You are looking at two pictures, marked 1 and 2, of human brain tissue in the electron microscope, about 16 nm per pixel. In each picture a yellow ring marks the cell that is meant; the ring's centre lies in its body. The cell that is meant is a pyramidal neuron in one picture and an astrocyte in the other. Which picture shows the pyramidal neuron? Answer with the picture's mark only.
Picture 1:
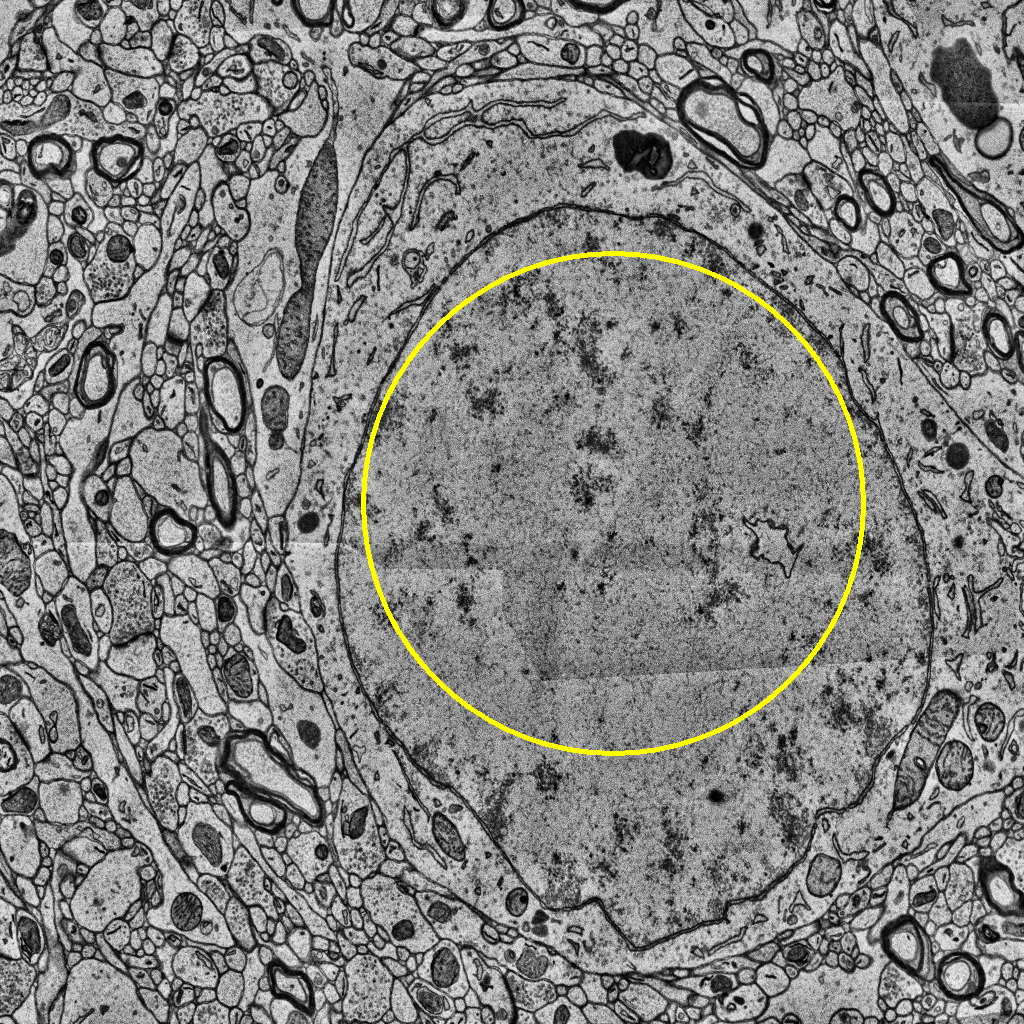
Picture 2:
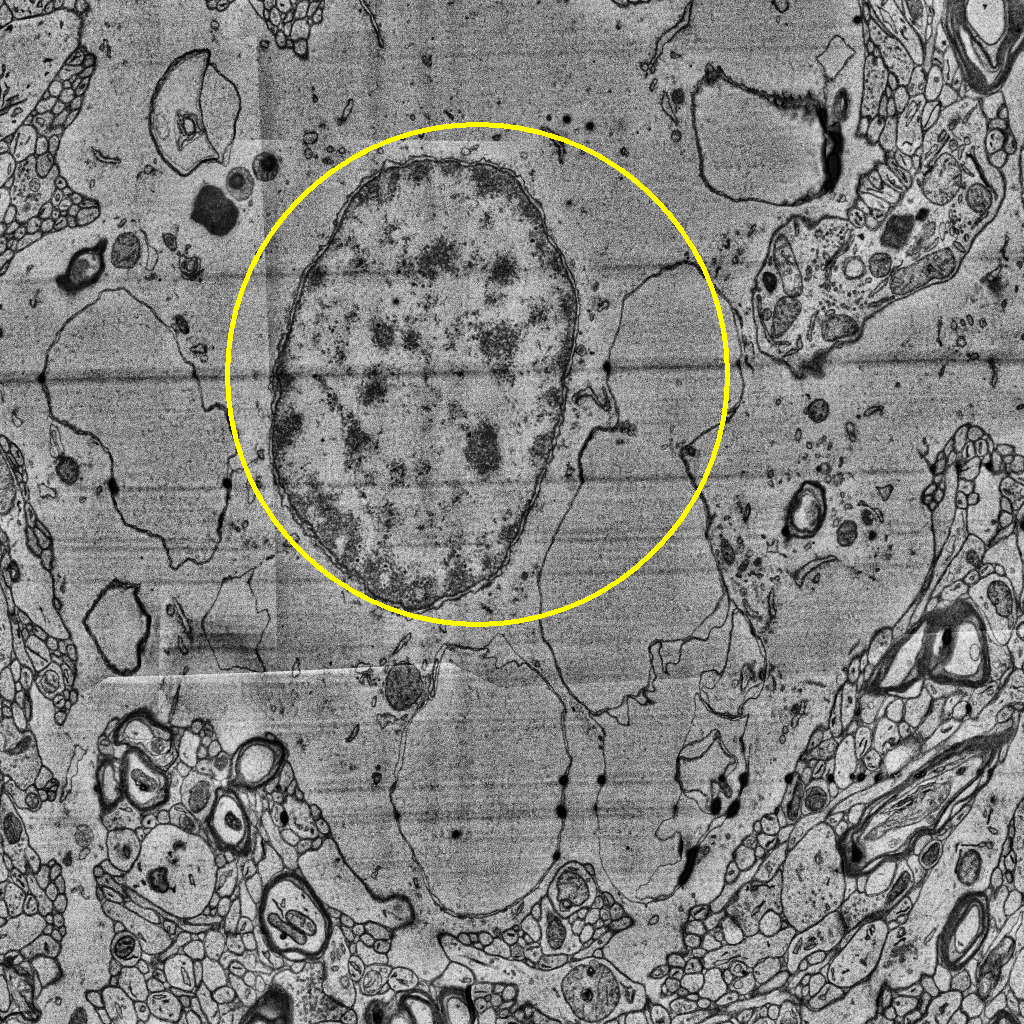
1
